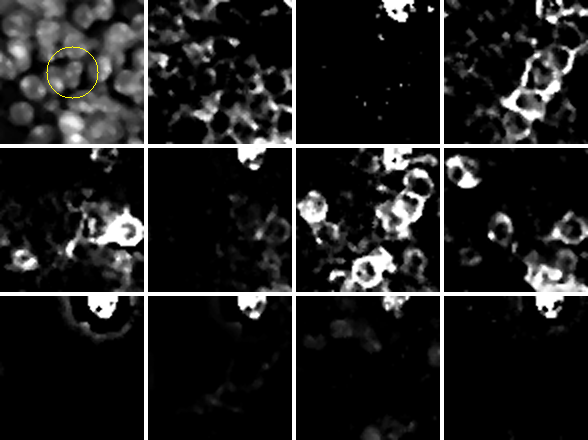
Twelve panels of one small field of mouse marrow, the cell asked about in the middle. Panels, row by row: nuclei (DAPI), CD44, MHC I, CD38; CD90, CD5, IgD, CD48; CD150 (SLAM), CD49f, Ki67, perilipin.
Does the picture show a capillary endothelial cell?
Yes.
